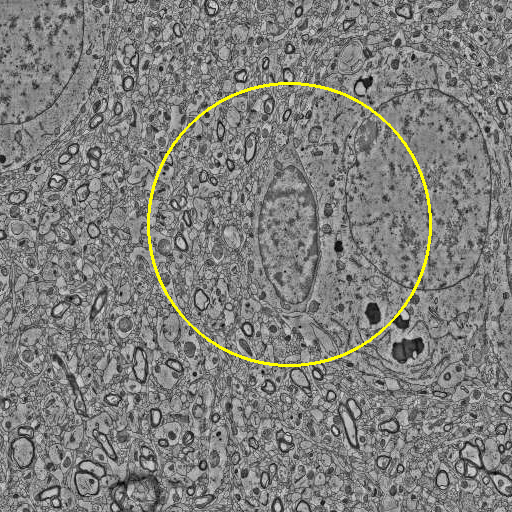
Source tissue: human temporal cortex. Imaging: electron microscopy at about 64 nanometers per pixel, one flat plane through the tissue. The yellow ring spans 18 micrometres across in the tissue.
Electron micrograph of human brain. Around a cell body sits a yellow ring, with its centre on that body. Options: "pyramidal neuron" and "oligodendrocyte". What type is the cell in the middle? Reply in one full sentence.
The cell sitting at the centre of the yellow ring is an oligodendrocyte.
